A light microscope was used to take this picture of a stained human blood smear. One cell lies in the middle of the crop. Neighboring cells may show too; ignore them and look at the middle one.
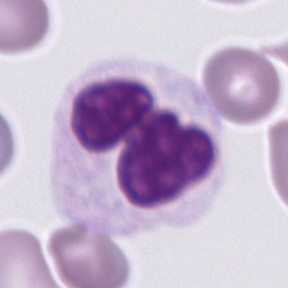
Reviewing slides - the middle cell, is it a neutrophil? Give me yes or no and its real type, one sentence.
Yes, the middle cell of the field is a neutrophil.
